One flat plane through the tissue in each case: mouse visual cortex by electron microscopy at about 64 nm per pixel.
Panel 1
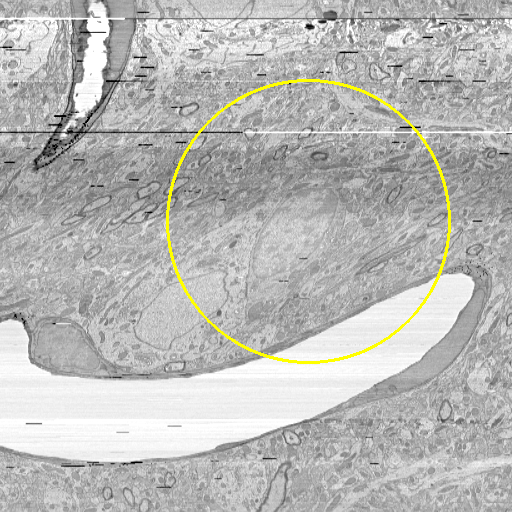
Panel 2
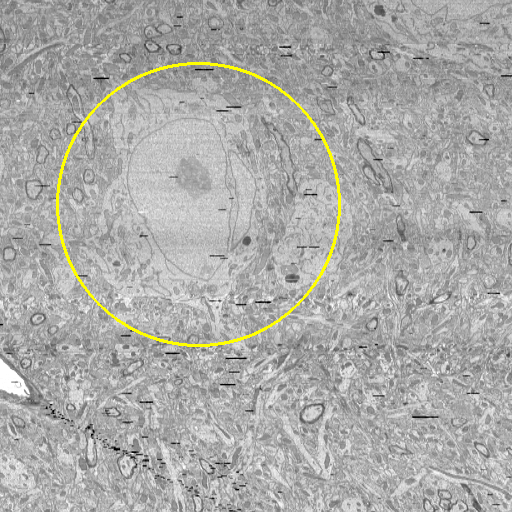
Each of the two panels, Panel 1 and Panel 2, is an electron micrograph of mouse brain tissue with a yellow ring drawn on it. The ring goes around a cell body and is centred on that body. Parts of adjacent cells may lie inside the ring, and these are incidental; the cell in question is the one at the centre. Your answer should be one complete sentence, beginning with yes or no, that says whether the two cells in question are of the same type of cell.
No, the two cells are of two types.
